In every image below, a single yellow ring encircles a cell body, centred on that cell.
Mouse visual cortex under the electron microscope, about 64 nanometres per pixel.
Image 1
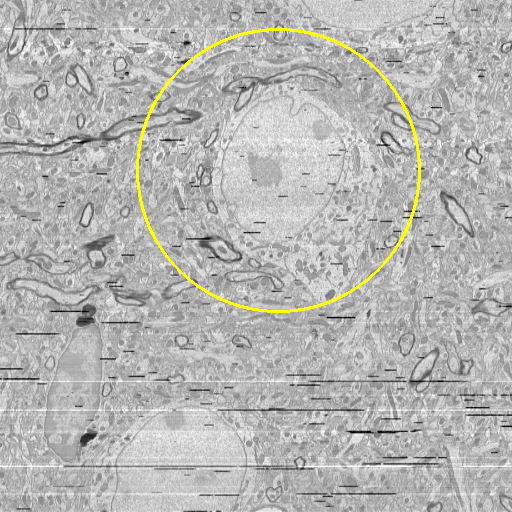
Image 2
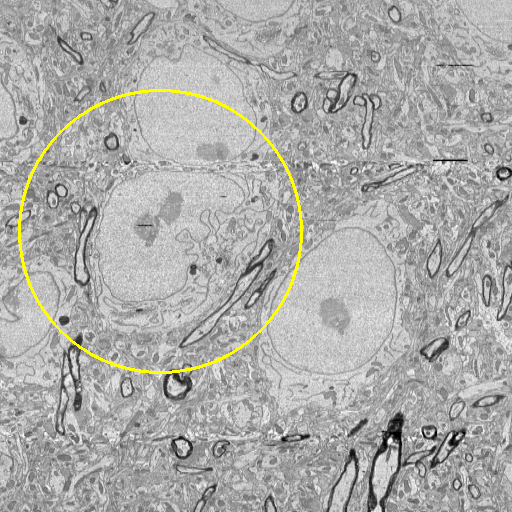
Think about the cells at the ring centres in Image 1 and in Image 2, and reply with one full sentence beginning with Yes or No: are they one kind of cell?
Yes, the cells centred in the rings of Image 1 and Image 2 are one kind of cell.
